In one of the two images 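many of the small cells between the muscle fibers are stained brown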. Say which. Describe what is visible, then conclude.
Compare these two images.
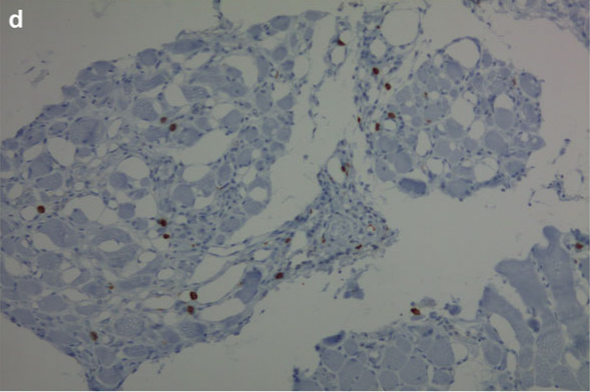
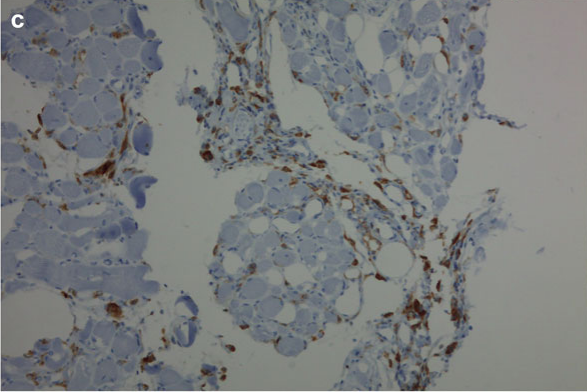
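First image: only a few scattered brown-stained nuclei lie between the fibers. Second image: numerous brown-stained cells cluster in the connective tissue between fascicles. So: the second image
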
